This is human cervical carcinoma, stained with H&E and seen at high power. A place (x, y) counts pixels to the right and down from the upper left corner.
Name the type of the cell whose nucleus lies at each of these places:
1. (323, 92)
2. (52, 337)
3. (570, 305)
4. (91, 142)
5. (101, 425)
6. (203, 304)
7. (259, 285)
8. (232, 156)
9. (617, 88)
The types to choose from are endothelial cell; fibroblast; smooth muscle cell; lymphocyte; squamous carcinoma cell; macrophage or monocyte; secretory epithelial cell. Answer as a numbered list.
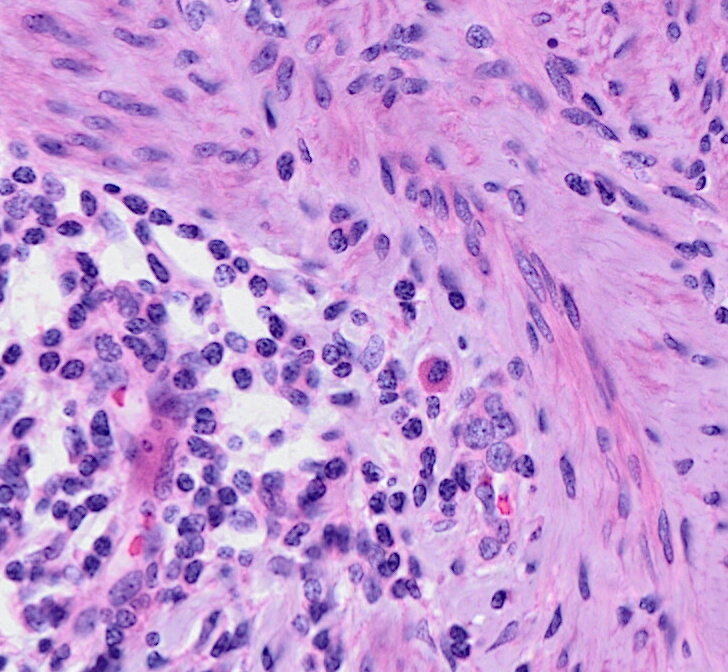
1. smooth muscle cell
2. lymphocyte
3. smooth muscle cell
4. smooth muscle cell
5. lymphocyte
6. lymphocyte
7. lymphocyte
8. smooth muscle cell
9. smooth muscle cell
